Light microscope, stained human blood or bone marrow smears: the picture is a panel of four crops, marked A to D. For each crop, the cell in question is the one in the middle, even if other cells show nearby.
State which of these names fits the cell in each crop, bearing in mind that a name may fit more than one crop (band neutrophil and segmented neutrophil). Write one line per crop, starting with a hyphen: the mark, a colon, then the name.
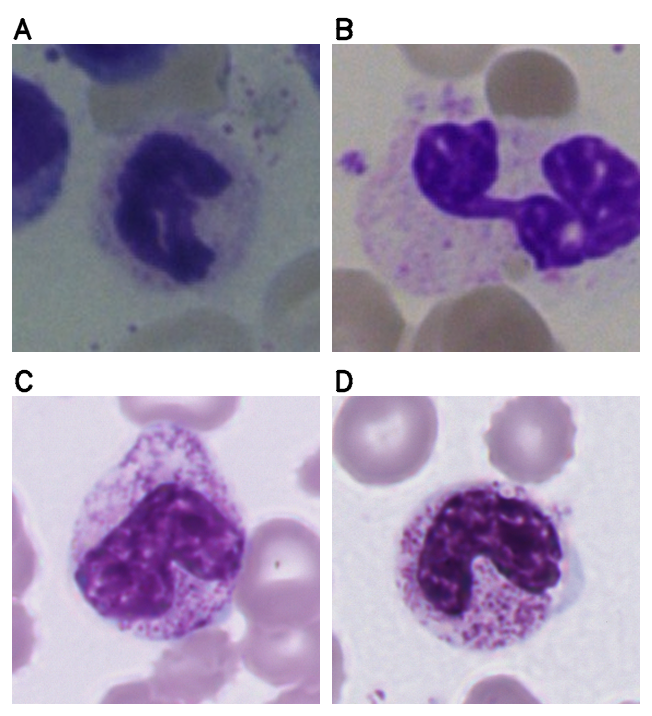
- A: segmented neutrophil
- B: segmented neutrophil
- C: band neutrophil
- D: band neutrophil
